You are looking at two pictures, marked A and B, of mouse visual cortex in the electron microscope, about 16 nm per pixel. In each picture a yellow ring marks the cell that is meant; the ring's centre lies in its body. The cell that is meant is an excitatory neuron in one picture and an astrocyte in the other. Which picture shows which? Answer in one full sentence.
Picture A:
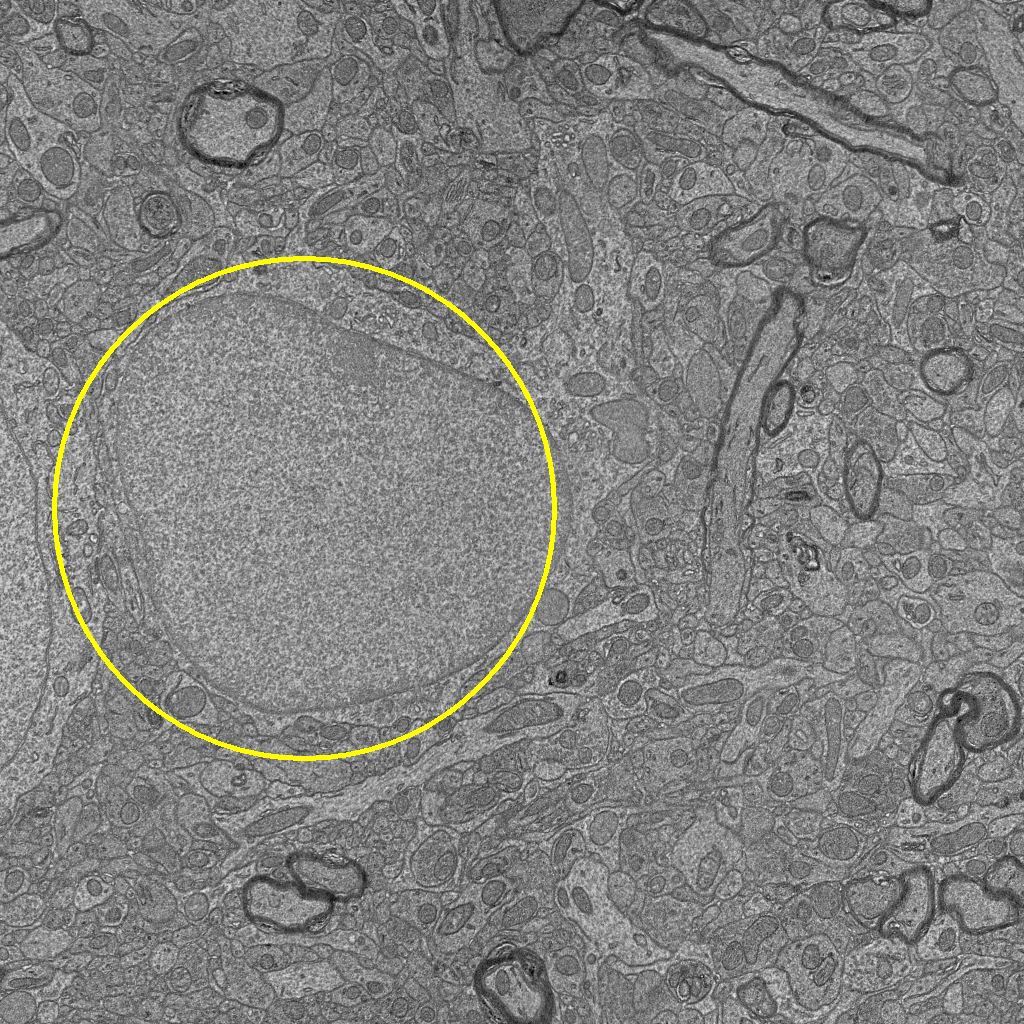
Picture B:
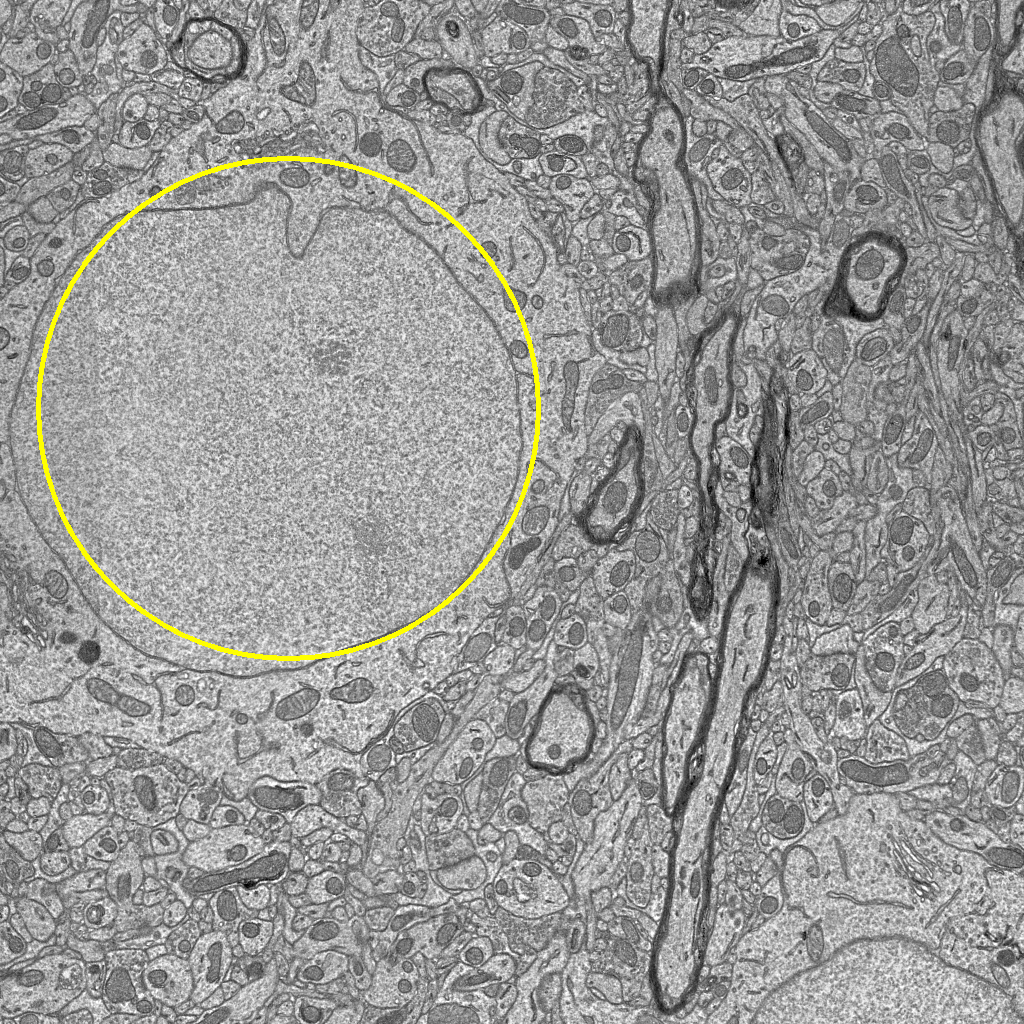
Picture A shows an astrocyte and picture B shows an excitatory neuron.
